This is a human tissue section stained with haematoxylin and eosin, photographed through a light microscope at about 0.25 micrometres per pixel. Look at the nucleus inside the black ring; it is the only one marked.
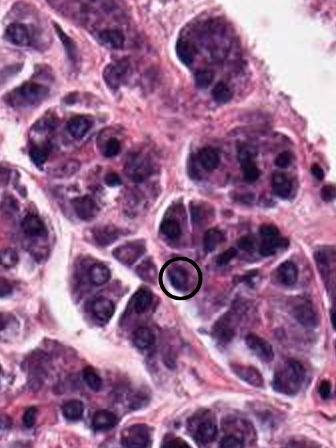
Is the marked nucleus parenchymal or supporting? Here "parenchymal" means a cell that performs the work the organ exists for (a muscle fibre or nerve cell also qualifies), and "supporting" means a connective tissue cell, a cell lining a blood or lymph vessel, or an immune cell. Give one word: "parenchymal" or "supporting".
parenchymal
